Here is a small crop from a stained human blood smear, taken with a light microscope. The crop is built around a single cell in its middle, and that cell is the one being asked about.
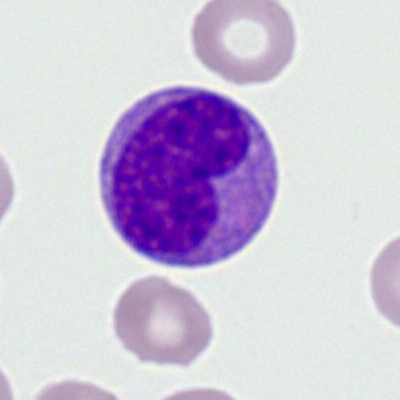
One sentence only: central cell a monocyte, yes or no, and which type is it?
Yes, the centred cell is categorised as a monocyte.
